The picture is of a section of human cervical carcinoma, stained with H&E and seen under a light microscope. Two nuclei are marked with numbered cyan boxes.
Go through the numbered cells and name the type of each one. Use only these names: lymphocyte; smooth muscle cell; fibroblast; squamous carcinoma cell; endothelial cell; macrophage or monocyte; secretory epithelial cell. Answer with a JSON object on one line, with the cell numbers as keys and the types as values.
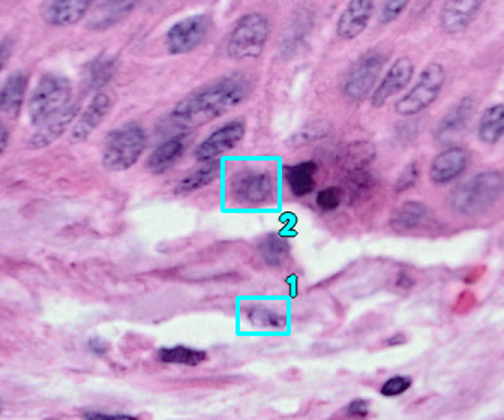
{"1": "fibroblast", "2": "squamous carcinoma cell"}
